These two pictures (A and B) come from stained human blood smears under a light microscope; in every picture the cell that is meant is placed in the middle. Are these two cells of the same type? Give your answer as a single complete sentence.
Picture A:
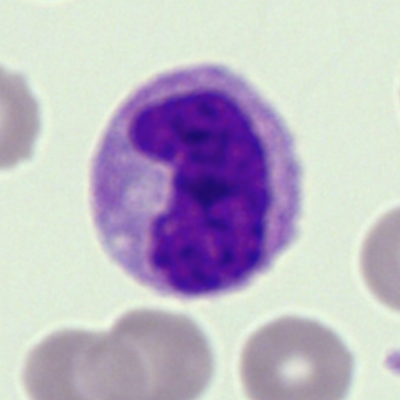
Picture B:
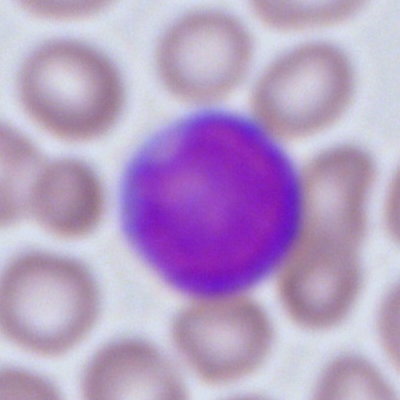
No, picture A shows a monocyte and picture B shows a myeloblast.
